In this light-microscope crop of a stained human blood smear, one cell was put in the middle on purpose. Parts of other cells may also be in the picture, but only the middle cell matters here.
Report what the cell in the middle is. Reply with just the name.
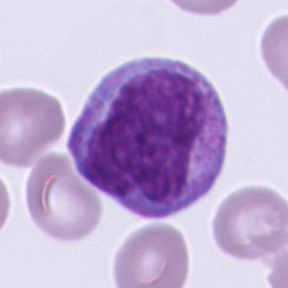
atypical promyelocyte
